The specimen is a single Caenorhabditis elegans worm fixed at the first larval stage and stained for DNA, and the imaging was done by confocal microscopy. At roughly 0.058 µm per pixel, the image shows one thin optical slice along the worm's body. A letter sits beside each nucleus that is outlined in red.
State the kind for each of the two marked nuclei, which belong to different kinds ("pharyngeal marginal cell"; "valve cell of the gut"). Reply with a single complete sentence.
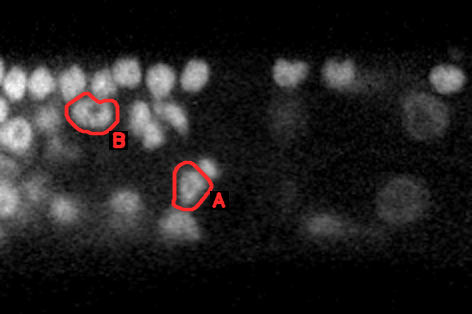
A belongs to a valve cell of the gut and B to a pharyngeal marginal cell.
